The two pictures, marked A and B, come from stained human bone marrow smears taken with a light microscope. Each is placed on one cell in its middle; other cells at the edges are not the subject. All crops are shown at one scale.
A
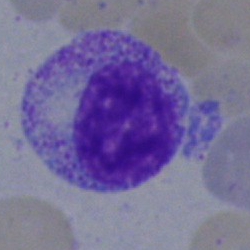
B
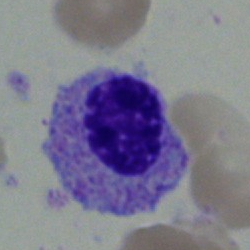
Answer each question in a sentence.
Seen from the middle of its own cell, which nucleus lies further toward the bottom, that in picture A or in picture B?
In picture A the nucleus is shifted more toward the bottom.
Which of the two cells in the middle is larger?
The cell in picture A is larger, with about 1.5 times the area of the one in picture B.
